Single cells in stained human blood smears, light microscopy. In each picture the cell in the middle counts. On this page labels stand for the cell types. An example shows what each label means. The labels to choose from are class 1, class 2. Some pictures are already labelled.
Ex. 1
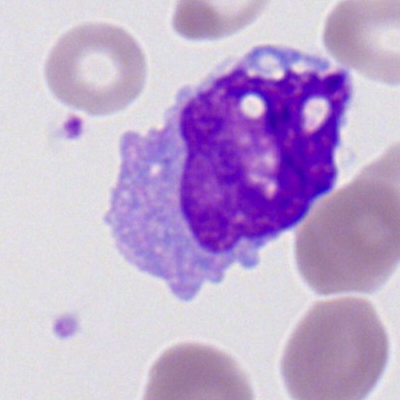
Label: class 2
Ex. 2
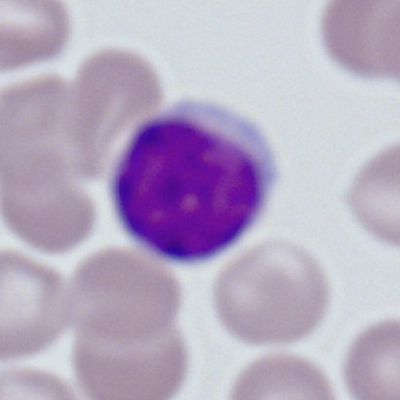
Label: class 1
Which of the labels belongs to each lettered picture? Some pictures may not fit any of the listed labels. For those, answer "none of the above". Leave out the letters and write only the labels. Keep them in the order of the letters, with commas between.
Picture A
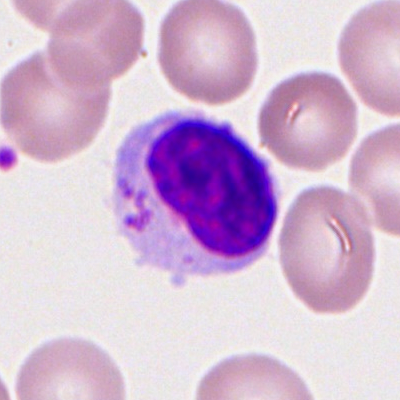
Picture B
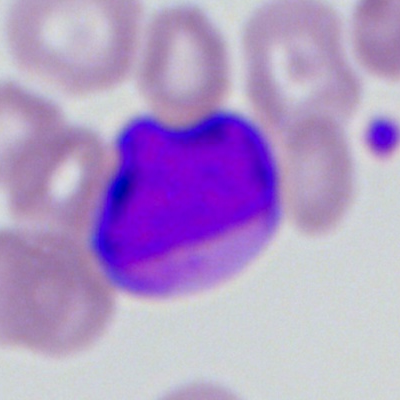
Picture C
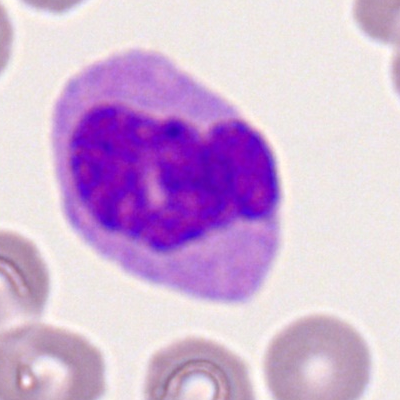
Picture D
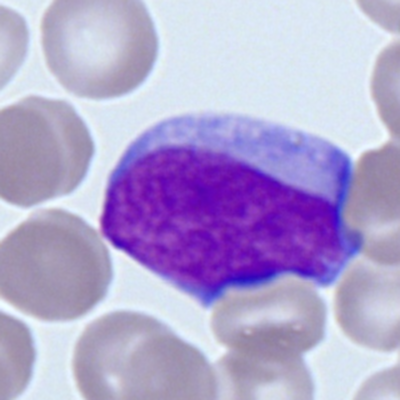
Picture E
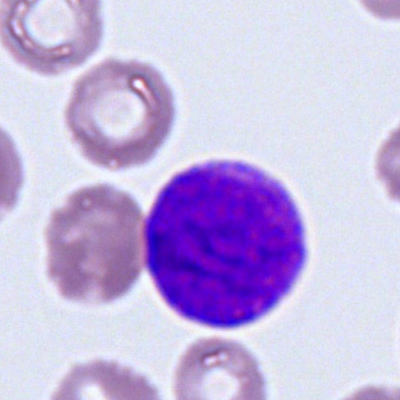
class 1, none of the above, class 2, none of the above, none of the above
